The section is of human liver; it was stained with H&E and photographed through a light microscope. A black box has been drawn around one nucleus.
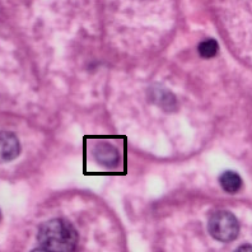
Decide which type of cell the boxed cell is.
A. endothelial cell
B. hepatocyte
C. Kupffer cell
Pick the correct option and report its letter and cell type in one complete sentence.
Here the boxed cell is a Kupffer cell; pick option C.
